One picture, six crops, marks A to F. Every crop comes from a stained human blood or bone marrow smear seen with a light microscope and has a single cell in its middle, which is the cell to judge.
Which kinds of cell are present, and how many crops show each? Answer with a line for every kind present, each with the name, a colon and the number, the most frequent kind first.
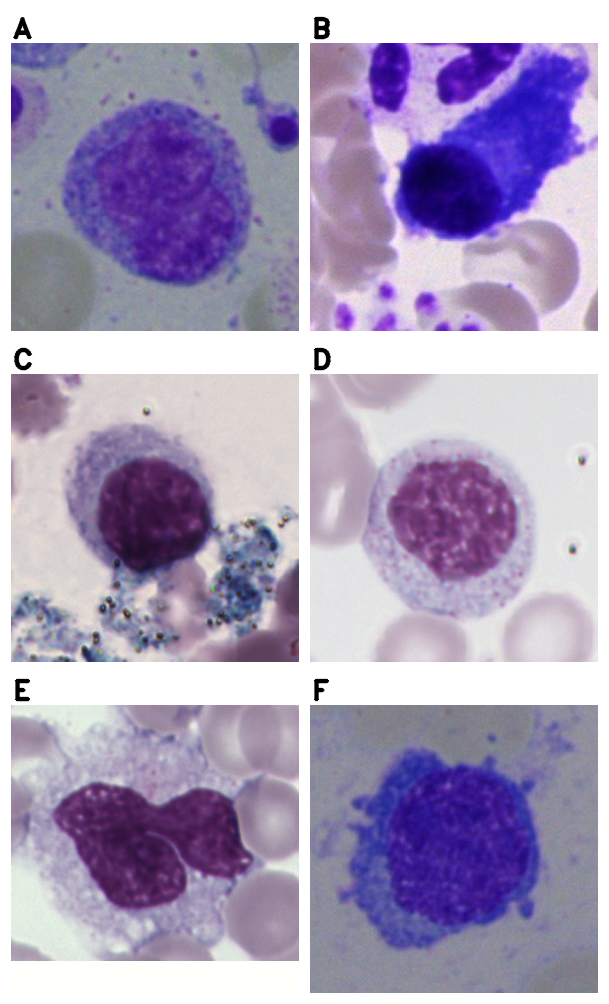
plasma cell: 3
monocyte: 2
myelocyte: 1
